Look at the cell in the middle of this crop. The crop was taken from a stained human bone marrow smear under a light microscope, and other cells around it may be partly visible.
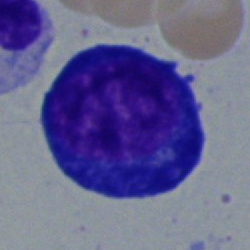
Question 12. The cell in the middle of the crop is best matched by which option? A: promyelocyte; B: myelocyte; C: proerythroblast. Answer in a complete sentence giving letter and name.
Since the cell in the middle is a proerythroblast, option C is correct.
